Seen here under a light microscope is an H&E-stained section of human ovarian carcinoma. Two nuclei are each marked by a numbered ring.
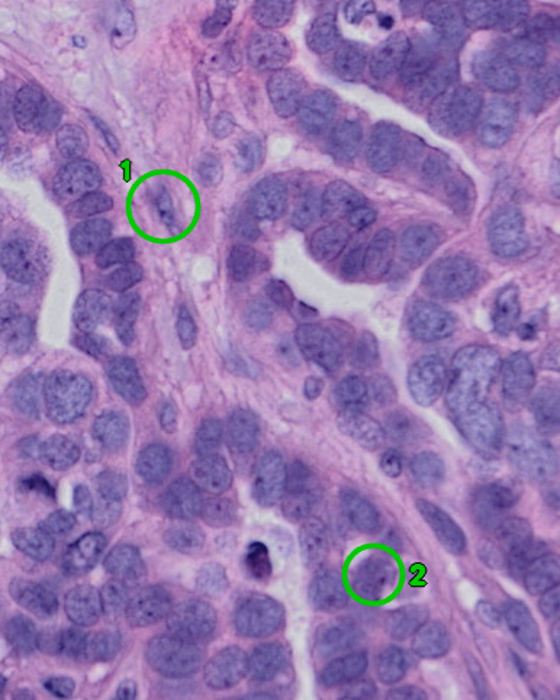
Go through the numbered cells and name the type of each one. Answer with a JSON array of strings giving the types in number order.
["fibroblast", "carcinoma cell"]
